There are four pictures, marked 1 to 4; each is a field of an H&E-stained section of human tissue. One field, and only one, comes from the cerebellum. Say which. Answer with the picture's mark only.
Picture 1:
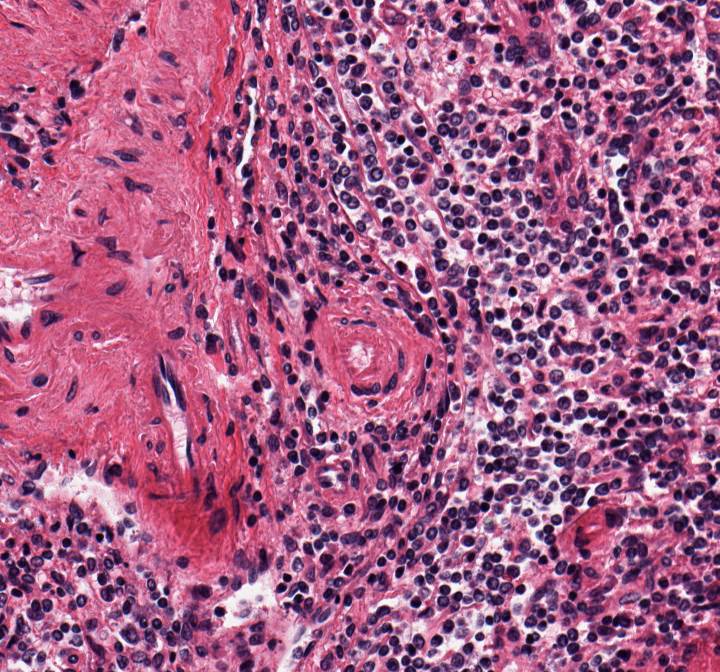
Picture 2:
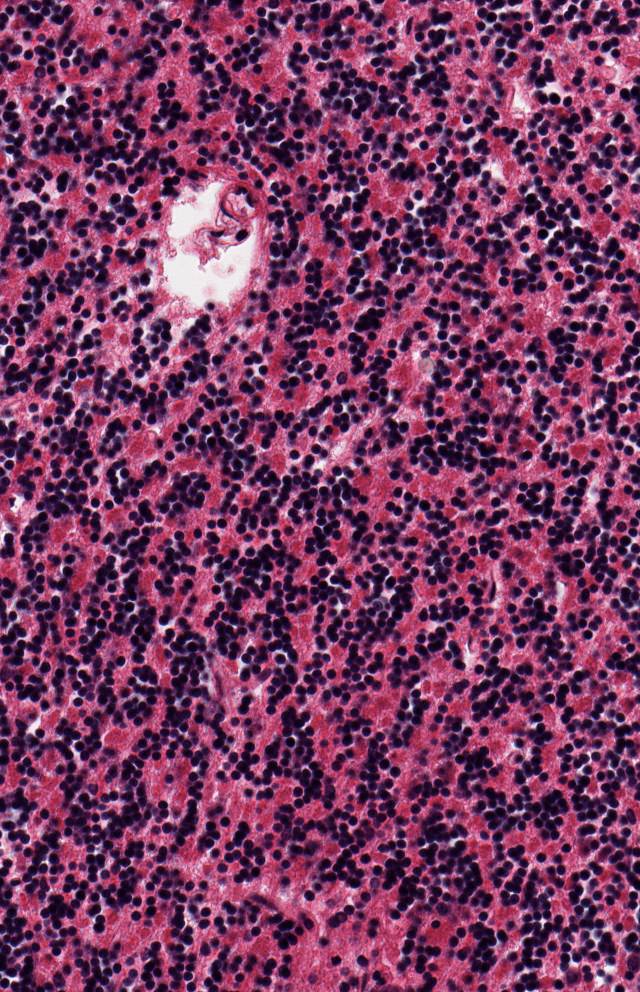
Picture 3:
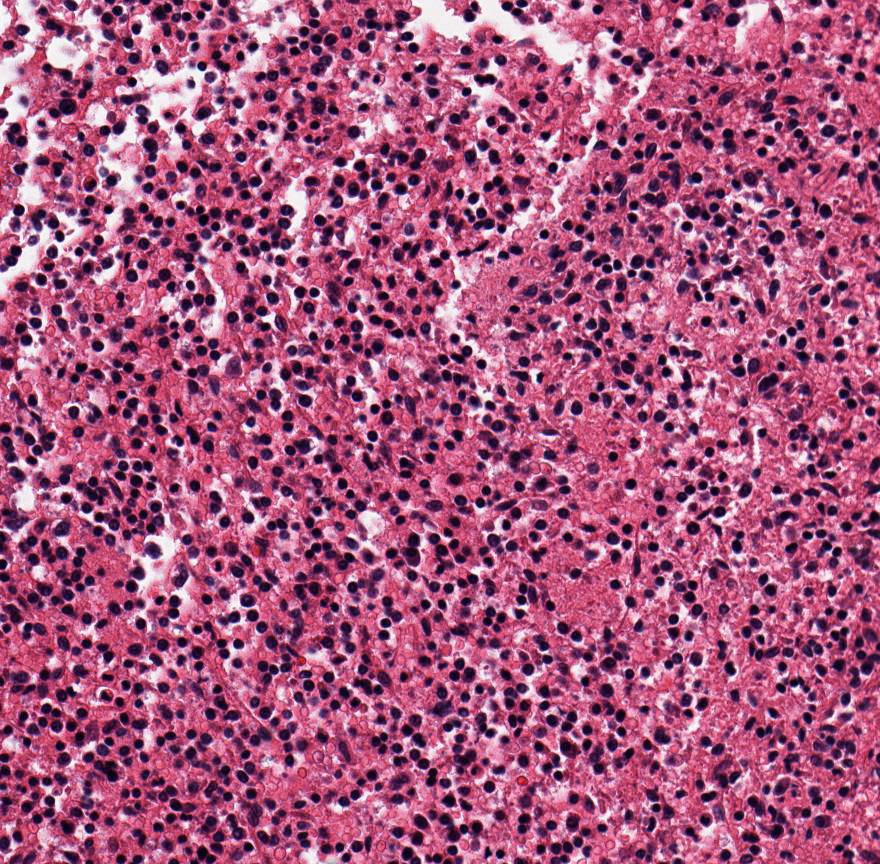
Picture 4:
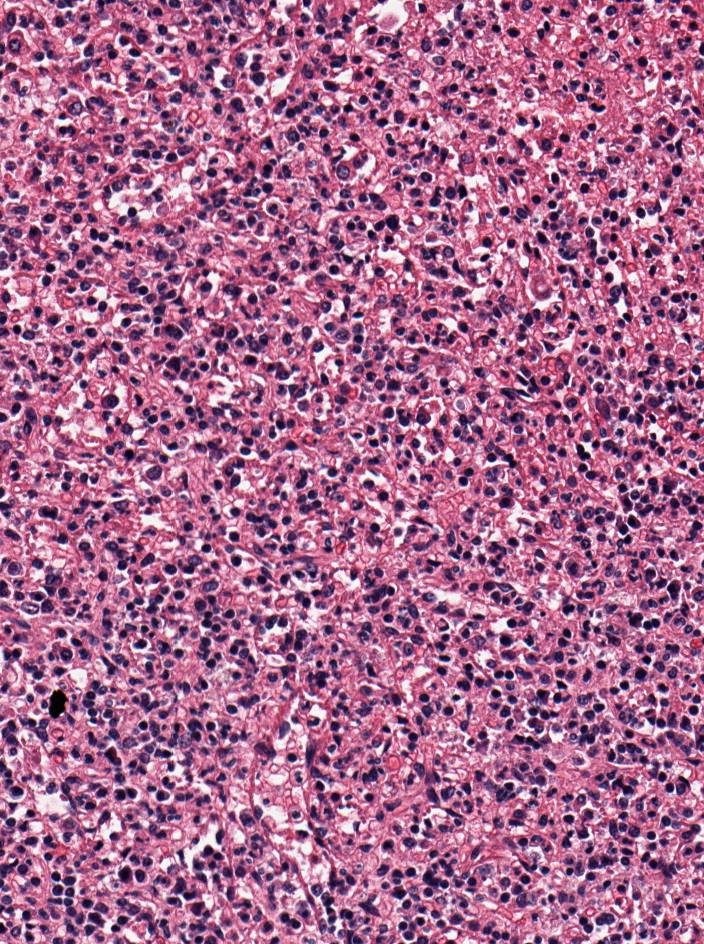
2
